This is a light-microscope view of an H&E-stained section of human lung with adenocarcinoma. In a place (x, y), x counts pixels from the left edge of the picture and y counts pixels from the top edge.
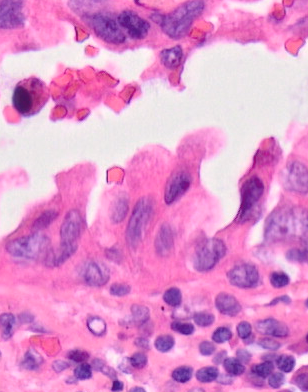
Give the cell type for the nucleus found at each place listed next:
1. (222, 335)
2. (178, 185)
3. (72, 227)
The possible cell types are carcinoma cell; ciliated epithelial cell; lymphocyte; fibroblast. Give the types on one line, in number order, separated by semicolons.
lymphocyte; carcinoma cell; carcinoma cell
